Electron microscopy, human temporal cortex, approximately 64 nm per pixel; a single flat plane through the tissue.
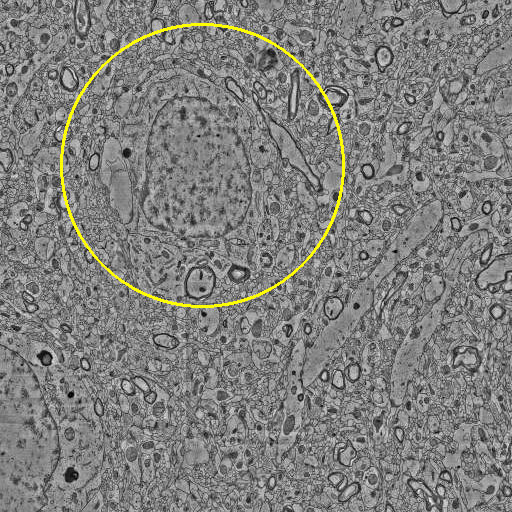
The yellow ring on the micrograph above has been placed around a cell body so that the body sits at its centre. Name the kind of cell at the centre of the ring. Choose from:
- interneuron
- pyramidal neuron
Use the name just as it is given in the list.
interneuron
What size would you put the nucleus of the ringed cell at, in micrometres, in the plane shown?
About 9 by 7 micrometers, in this plane.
